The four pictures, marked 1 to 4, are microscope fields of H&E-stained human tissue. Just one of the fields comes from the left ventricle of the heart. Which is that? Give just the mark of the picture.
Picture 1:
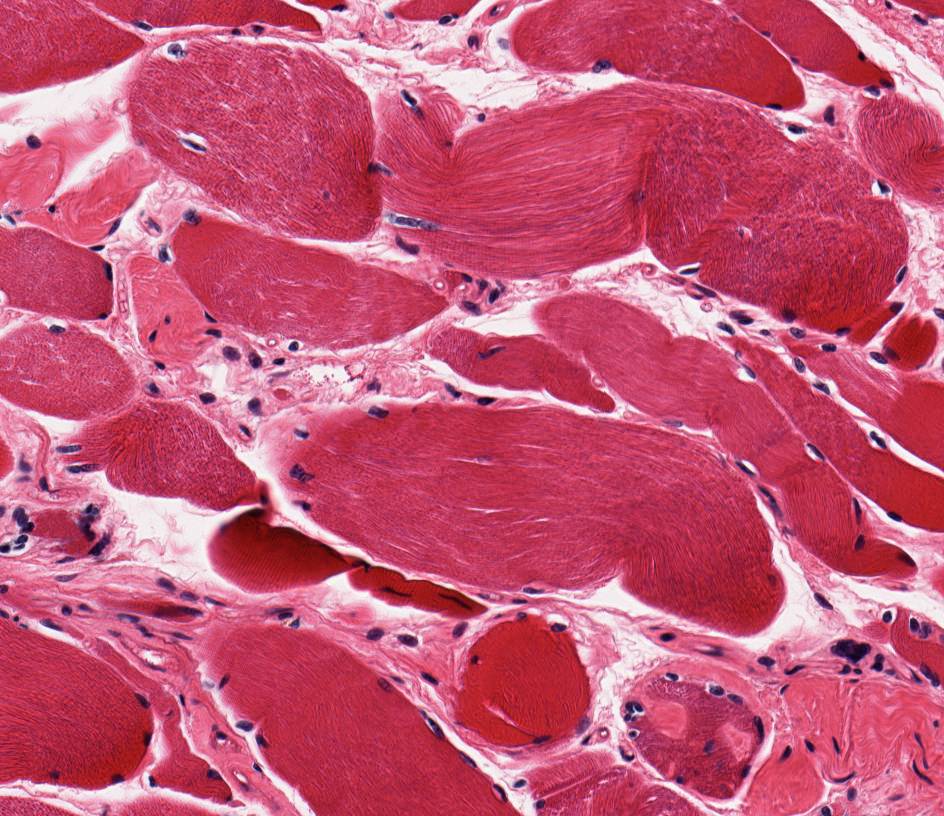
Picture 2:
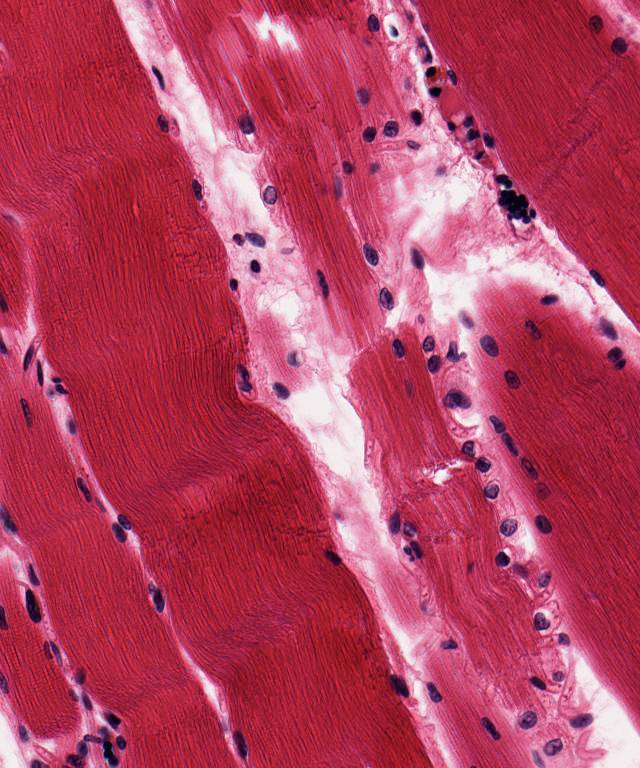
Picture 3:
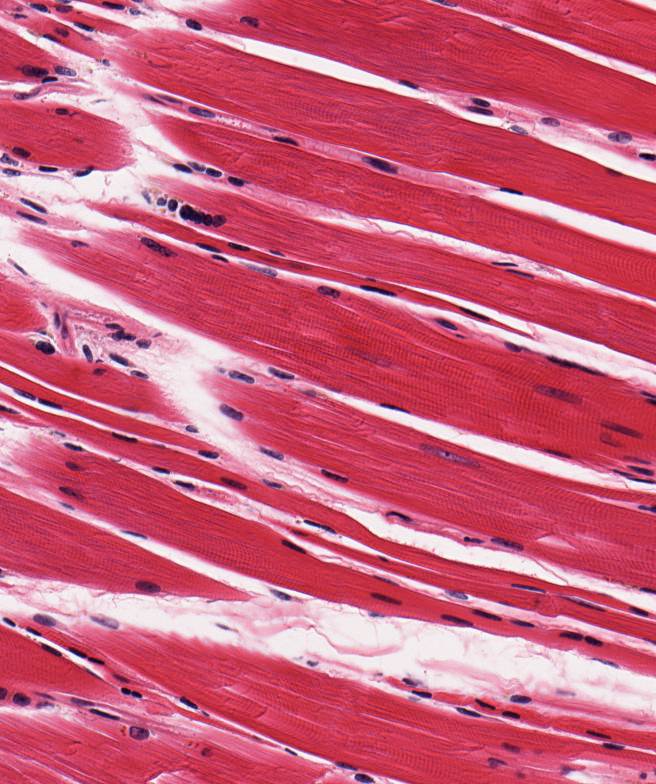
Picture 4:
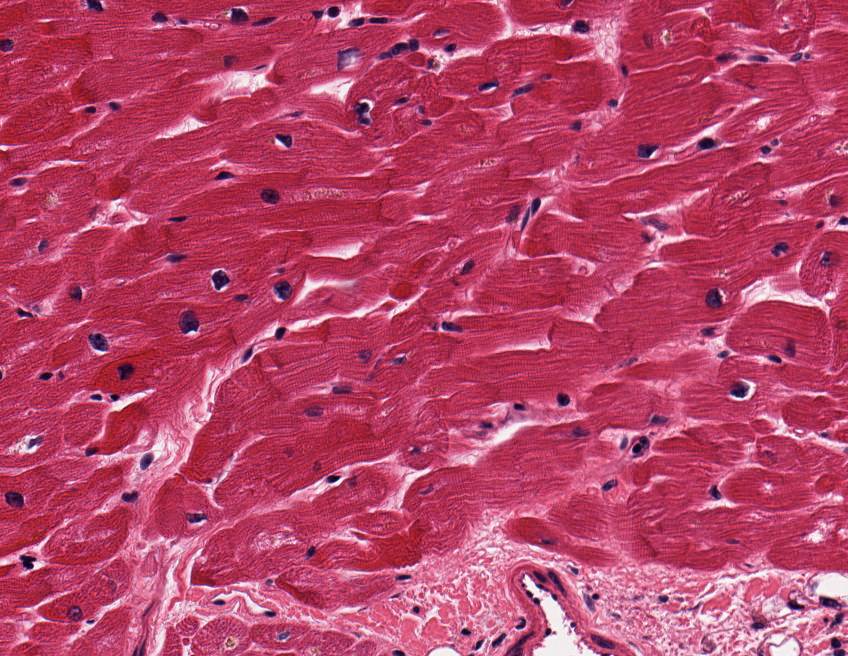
4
